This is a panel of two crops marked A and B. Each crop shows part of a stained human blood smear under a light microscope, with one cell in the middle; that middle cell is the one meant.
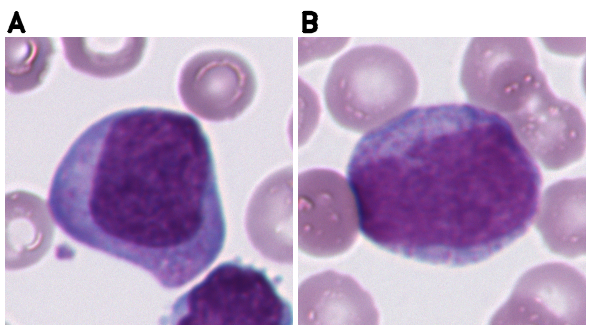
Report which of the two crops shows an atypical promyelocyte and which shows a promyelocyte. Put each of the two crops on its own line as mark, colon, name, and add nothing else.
A: atypical promyelocyte
B: promyelocyte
